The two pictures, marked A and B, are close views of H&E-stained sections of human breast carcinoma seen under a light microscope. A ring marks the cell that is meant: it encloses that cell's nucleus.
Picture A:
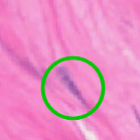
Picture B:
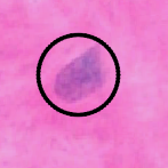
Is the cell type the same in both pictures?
yes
